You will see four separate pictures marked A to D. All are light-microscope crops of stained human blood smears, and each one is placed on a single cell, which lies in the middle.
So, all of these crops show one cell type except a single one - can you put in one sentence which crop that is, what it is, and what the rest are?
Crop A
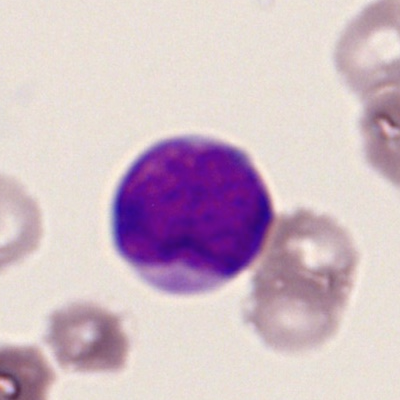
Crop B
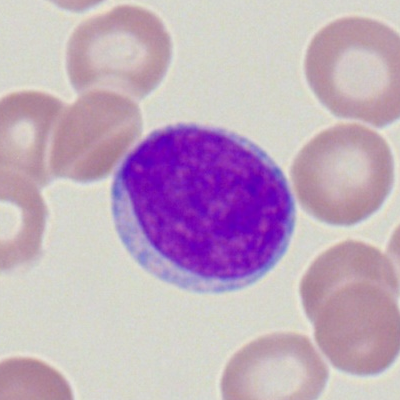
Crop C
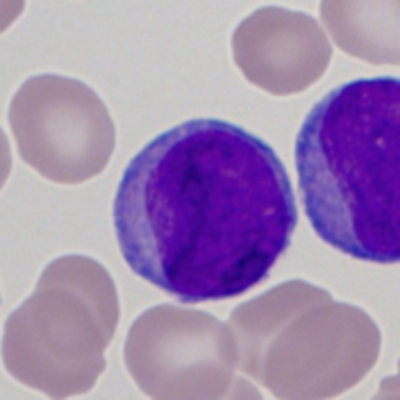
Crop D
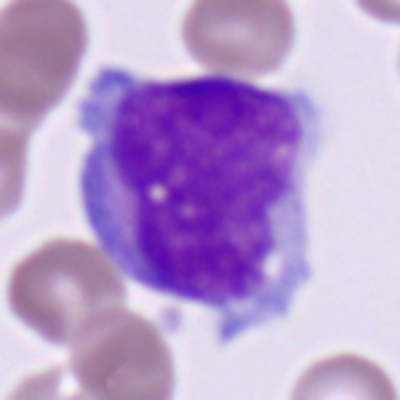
Crop D is a monocyte, and the other crops all show myeloblasts.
